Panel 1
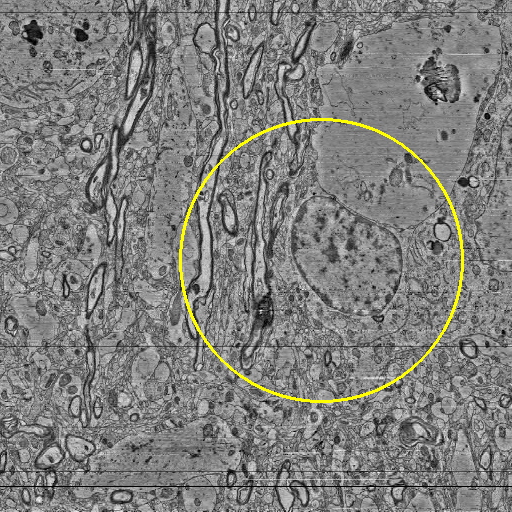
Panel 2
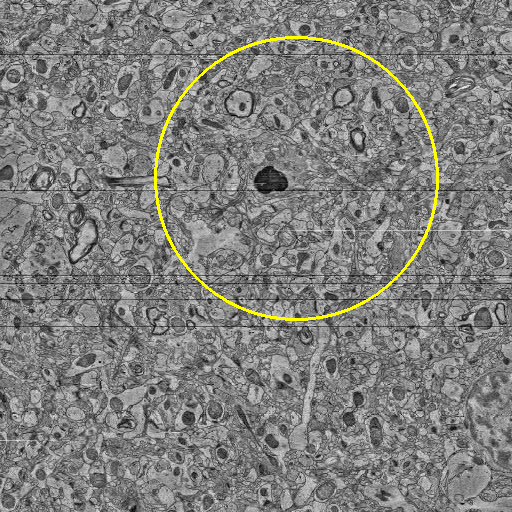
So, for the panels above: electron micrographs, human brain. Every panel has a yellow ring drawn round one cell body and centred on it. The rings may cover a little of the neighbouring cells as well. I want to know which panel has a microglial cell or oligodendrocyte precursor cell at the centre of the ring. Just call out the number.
1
